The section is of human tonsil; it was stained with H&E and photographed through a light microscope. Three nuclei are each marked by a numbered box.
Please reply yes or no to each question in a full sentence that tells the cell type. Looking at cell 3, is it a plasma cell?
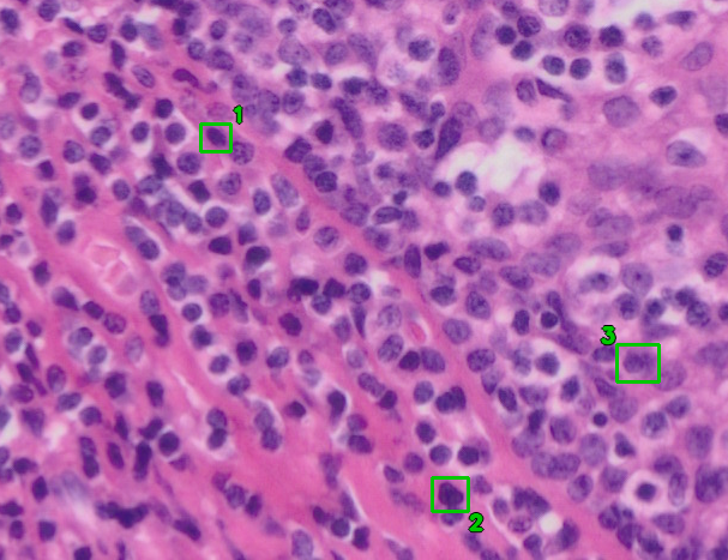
No, cell 3 has been misnamed; it is a squamous epithelial cell, not a plasma cell.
